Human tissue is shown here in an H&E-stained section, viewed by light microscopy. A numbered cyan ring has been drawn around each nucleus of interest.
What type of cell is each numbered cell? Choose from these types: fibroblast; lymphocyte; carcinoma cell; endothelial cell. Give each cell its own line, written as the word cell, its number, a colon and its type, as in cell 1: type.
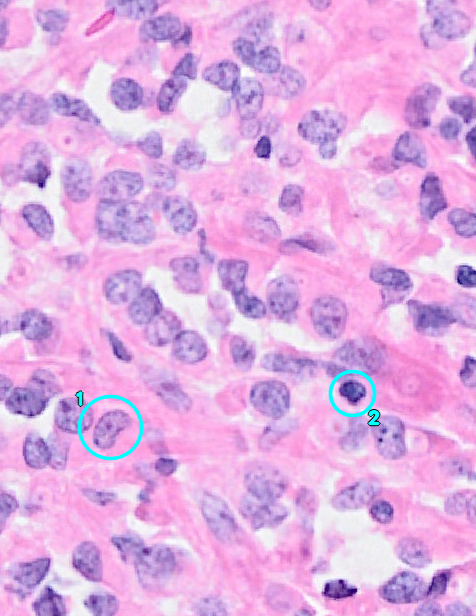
cell 1: carcinoma cell
cell 2: lymphocyte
